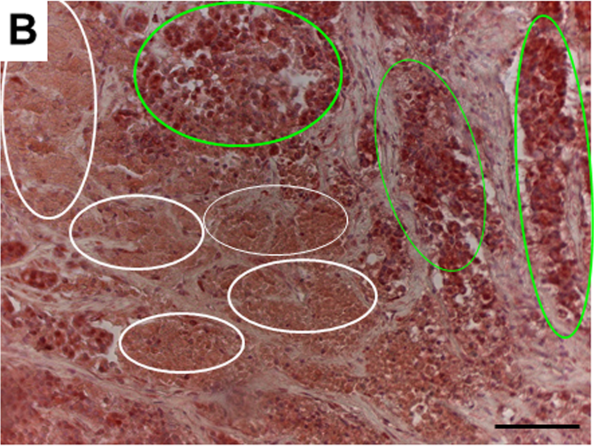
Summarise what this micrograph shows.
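This is tumor tissue in which nests of tumor cells are separated by pale, fibrous strands of stroma. Brown stain covers the tumor cells throughout. Some nests hold tightly packed, rounded cells with crisp outlines and deep brown cytoplasm, while other nests are paler, with faint, smudged cell outlines that give them a ghost-like look. The crisp, dark nests read as growing tumor, the pale washed-out nests as areas where tumor cells have died.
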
